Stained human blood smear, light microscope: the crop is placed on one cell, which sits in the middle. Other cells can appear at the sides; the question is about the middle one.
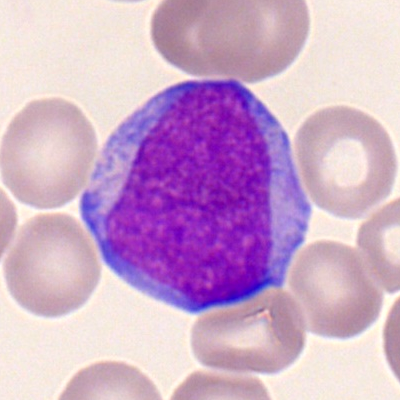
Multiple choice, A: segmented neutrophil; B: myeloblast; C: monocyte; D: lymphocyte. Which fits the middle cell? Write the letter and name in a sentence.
The best answer is option B, since the cell in the middle is a myeloblast.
